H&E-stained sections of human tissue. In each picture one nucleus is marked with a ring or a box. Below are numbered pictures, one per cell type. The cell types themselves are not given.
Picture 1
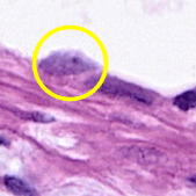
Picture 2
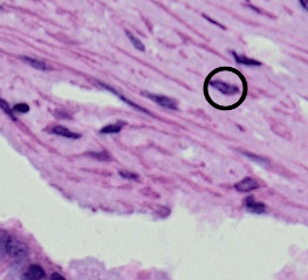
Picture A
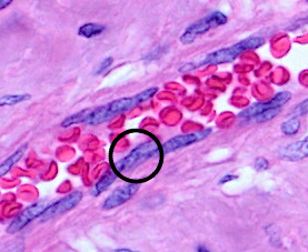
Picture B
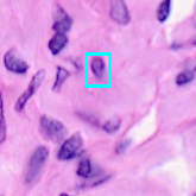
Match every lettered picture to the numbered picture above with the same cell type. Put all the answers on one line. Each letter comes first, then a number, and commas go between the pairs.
A 1, B 2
